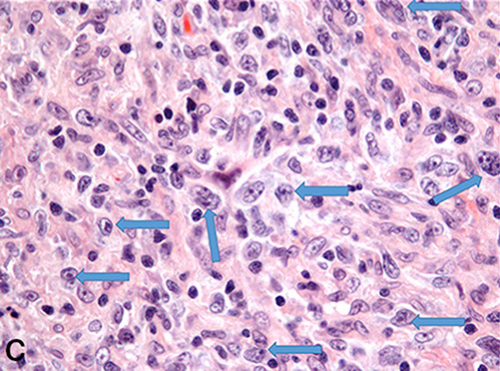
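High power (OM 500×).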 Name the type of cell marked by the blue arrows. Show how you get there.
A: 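Large atypical cells. The arrowed cells have large oval nuclei, much bigger than neighbouring small dark round nuclei. Some arrowed nuclei have open chromatin and visible nucleoli.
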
